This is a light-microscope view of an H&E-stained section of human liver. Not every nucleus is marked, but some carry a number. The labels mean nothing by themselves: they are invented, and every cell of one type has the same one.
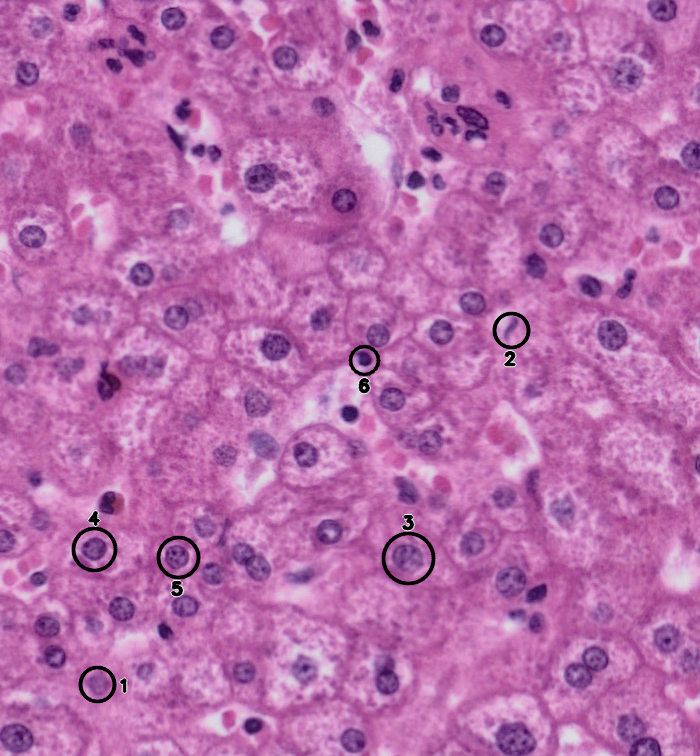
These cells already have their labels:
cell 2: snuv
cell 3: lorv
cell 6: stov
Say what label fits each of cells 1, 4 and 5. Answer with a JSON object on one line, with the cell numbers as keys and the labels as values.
{"1": "lorv", "4": "lorv", "5": "lorv"}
